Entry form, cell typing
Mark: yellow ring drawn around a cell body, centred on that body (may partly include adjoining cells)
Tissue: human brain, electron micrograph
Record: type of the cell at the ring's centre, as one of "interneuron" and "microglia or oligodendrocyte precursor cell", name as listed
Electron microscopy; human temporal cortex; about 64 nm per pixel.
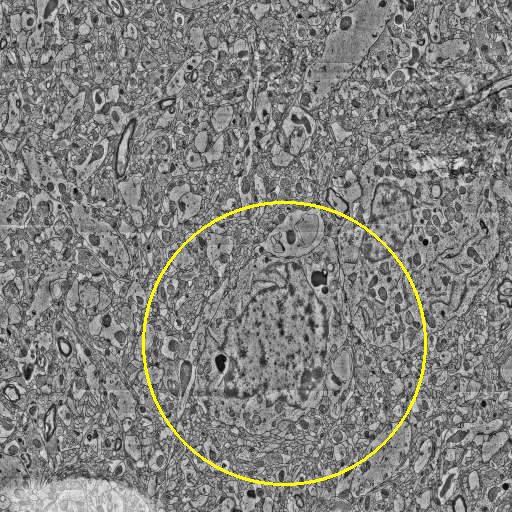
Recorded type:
interneuron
